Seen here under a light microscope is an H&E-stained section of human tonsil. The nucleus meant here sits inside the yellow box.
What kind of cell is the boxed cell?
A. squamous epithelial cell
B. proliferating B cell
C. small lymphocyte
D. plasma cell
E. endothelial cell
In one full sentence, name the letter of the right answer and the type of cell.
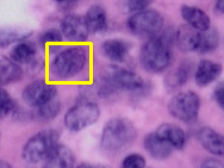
The statement that the boxed cell is a proliferating B cell corresponds to option B, the correct one.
